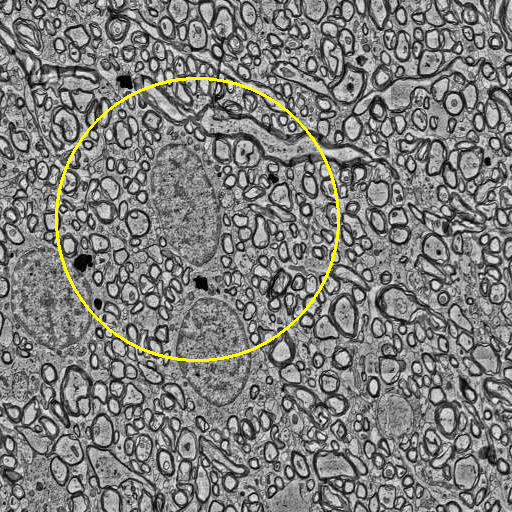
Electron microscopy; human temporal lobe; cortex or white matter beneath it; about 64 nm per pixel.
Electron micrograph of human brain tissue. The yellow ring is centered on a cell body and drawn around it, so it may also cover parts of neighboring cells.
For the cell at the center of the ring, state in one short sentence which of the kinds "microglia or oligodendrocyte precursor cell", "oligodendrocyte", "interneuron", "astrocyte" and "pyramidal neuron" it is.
This ring is centered on an oligodendrocyte.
